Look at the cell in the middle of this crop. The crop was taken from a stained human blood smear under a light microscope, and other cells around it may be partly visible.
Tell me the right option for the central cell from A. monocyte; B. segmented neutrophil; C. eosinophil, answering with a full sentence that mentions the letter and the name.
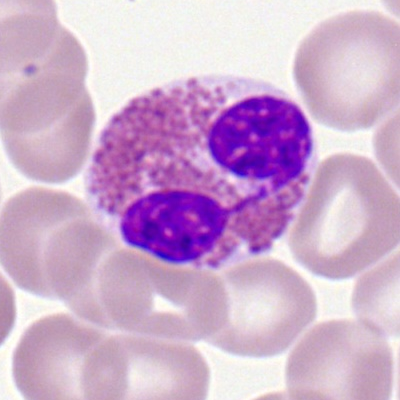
Option C is correct here, and the cell in the middle is an eosinophil.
